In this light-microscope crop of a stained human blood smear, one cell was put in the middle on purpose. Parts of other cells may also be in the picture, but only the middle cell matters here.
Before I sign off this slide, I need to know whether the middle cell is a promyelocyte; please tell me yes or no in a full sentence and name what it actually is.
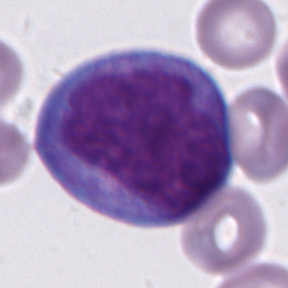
Yes, the identification of the central cell as a promyelocyte is correct.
